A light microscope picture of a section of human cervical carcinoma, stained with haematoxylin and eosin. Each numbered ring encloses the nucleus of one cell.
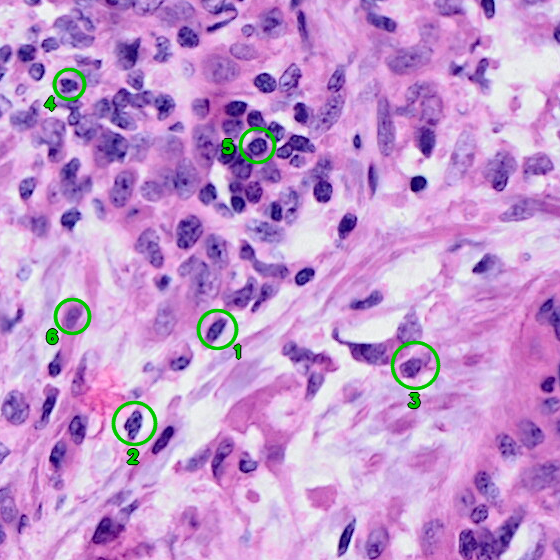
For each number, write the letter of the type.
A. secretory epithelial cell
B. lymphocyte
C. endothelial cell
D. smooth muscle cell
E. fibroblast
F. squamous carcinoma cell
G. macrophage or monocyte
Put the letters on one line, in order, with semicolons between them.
B; B; G; B; B; G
